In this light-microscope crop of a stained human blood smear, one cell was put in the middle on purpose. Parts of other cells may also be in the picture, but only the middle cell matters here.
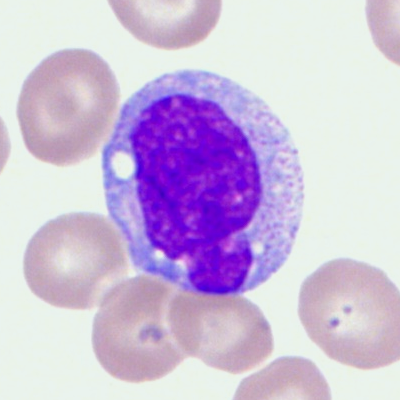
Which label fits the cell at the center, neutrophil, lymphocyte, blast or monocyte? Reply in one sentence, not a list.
Centrally within this crop lies a monocyte.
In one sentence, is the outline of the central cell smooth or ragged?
Its outline is smooth, with no projections anywhere along the edge.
